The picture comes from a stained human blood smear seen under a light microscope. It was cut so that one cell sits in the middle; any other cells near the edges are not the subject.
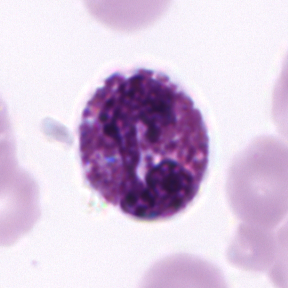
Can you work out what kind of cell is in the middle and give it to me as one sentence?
The cell under consideration, at the middle of the crop, is an eosinophil.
